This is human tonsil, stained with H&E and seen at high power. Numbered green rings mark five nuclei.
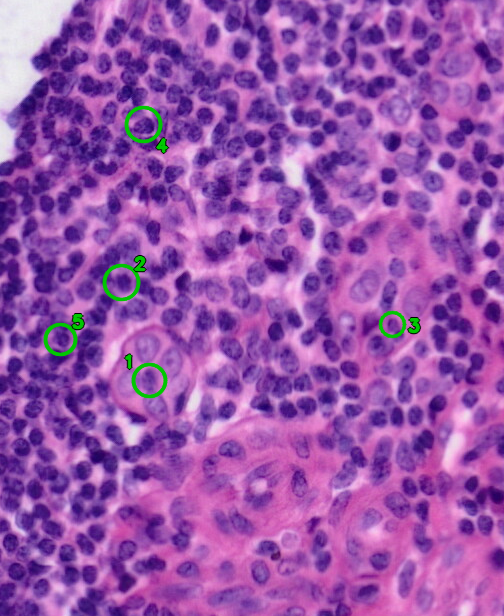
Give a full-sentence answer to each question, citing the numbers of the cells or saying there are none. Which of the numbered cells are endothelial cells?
Classified as endothelial cells are the cells numbered 1 and 3.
